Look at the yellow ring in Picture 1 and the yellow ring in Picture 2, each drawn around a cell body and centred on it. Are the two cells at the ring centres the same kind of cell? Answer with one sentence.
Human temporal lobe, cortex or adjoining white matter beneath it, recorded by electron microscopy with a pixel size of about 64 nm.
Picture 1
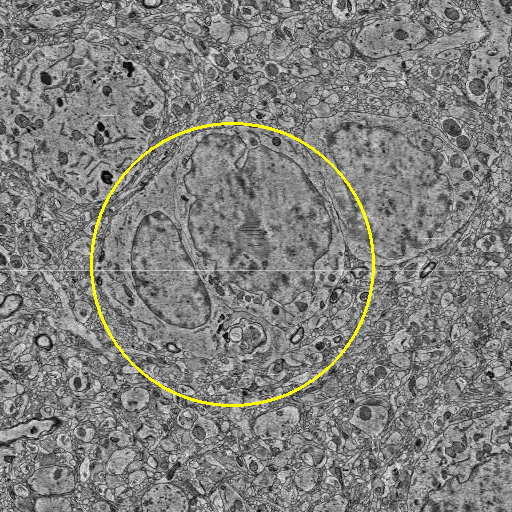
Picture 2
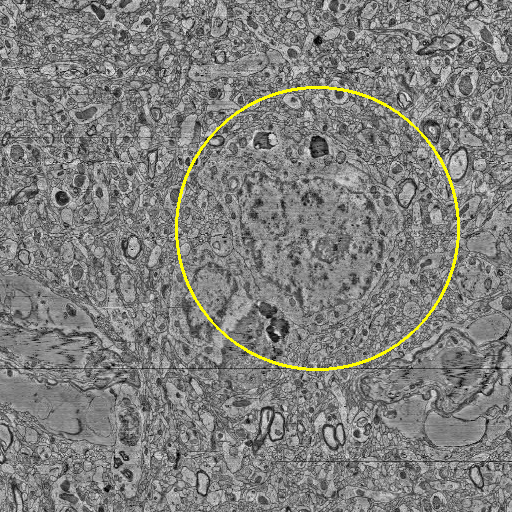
Yes, both are the same kind of cell.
